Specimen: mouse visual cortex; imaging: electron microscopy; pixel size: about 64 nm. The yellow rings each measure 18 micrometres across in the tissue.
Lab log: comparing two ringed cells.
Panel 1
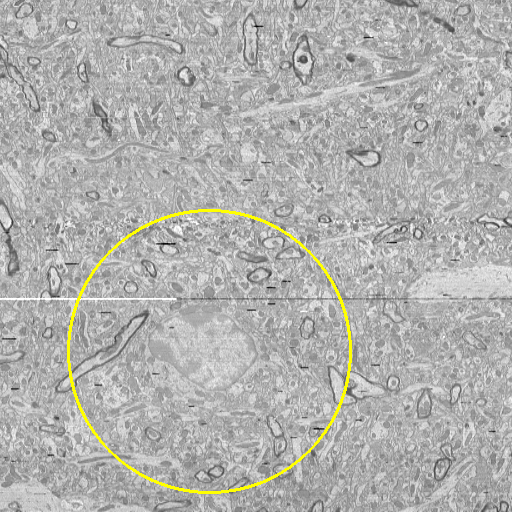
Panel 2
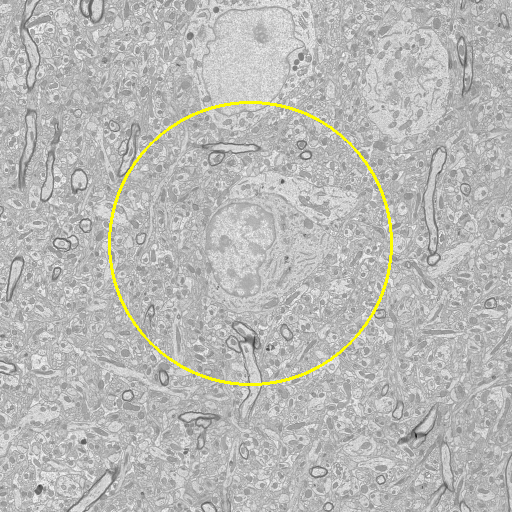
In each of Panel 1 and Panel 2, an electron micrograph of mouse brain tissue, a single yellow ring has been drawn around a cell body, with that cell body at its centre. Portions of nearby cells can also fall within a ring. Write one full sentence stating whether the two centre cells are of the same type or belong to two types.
The cells at the ring centres in Panel 1 and Panel 2 are of the same type.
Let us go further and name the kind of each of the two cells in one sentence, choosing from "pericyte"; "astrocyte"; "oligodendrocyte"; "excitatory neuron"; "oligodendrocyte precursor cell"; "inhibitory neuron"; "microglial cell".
The cell in the first picture is an oligodendrocyte, and so is the one in the second.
